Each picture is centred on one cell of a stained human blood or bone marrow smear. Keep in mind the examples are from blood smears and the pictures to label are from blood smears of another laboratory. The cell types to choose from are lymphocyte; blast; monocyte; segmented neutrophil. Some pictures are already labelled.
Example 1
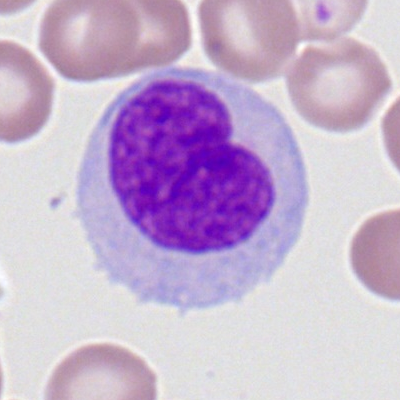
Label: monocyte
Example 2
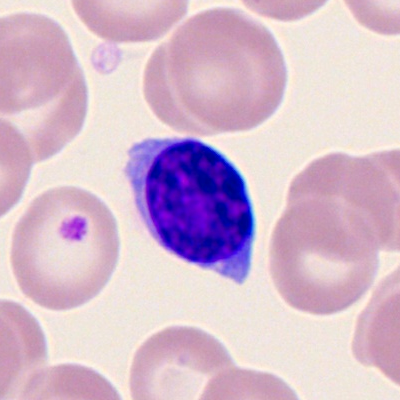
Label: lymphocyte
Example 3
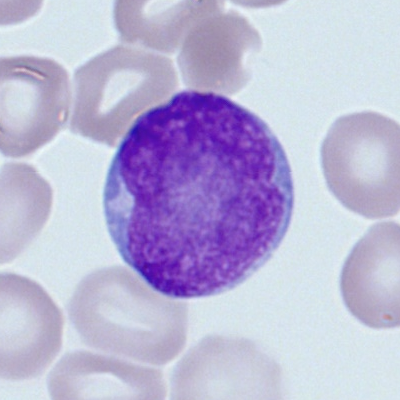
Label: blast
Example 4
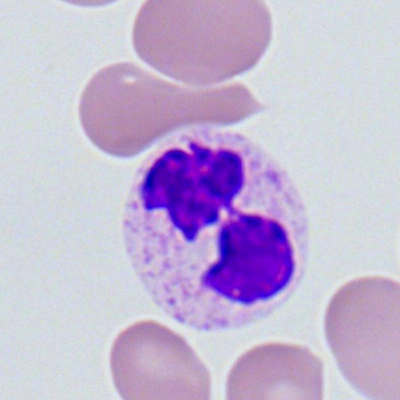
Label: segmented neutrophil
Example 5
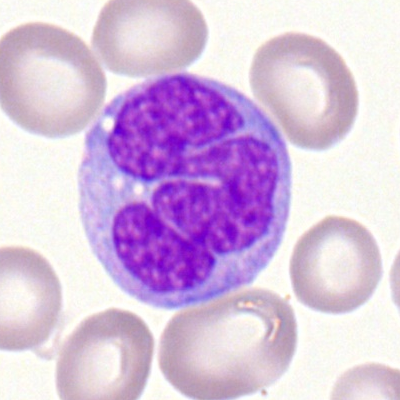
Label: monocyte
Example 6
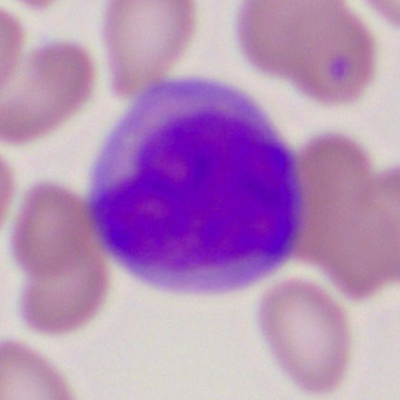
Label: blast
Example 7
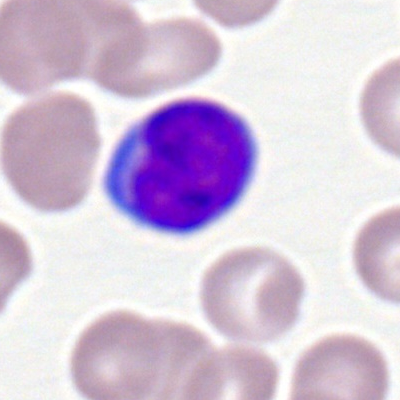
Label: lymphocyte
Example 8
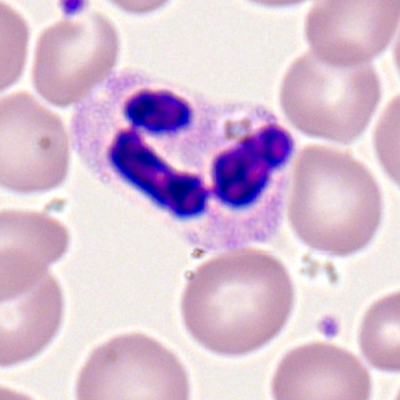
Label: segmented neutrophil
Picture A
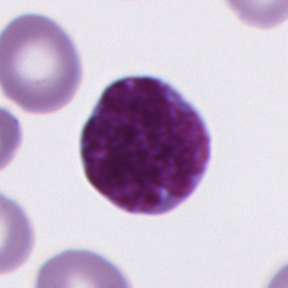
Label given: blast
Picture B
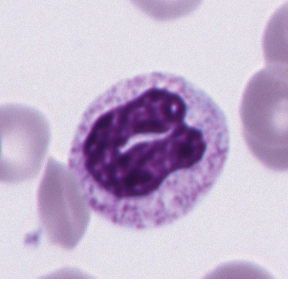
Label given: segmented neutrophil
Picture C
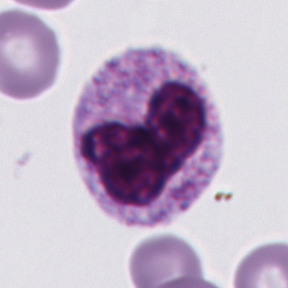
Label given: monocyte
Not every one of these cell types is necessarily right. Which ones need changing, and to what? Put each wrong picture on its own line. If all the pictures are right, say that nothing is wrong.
C: change monocyte to segmented neutrophil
